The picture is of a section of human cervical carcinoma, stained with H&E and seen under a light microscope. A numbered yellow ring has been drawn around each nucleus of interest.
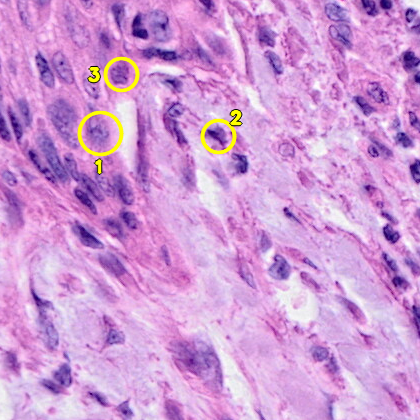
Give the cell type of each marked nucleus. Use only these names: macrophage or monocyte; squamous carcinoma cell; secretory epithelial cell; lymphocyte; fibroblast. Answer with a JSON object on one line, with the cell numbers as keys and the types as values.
{"1": "squamous carcinoma cell", "2": "fibroblast", "3": "squamous carcinoma cell"}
